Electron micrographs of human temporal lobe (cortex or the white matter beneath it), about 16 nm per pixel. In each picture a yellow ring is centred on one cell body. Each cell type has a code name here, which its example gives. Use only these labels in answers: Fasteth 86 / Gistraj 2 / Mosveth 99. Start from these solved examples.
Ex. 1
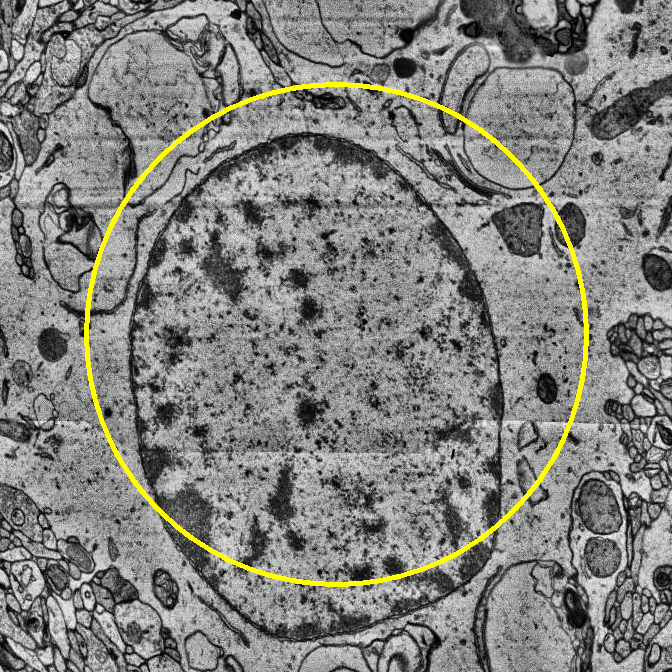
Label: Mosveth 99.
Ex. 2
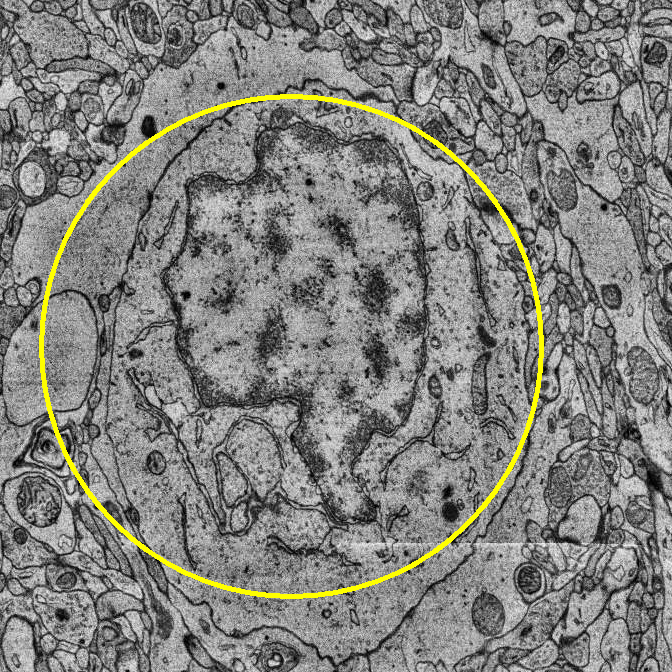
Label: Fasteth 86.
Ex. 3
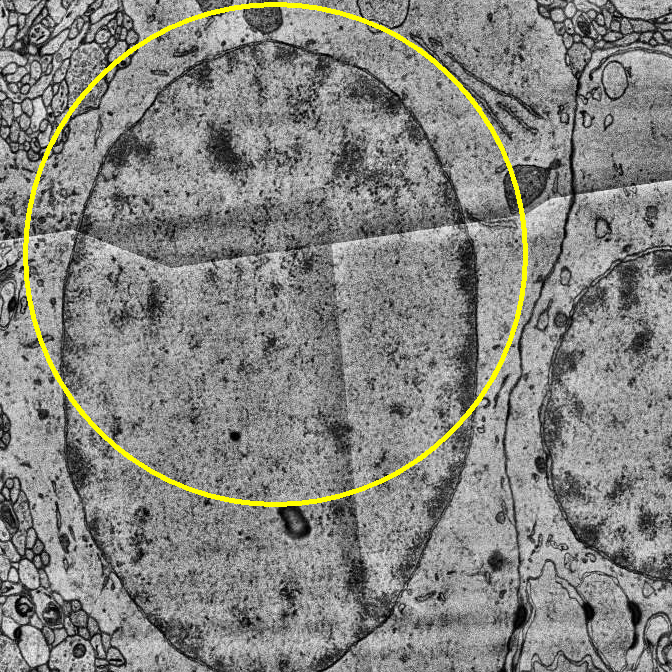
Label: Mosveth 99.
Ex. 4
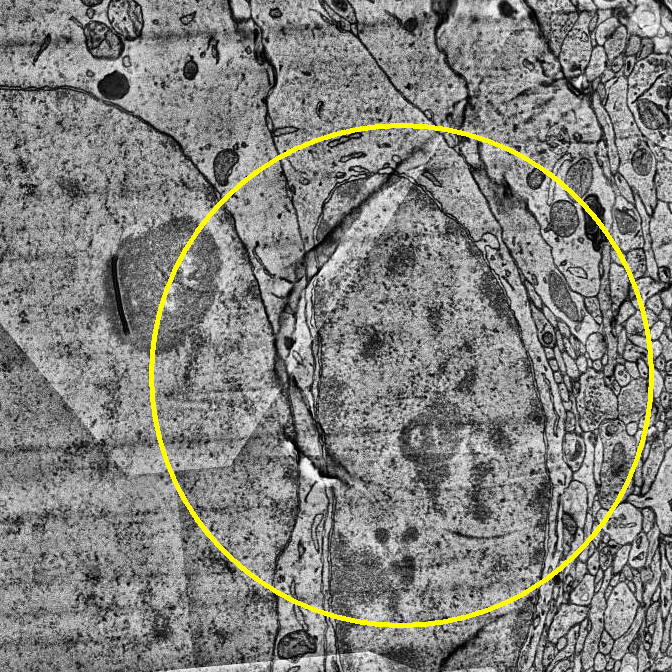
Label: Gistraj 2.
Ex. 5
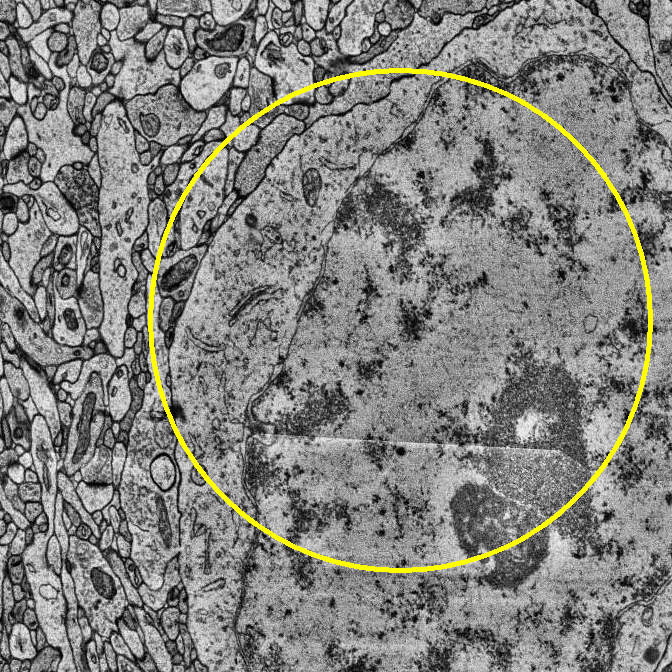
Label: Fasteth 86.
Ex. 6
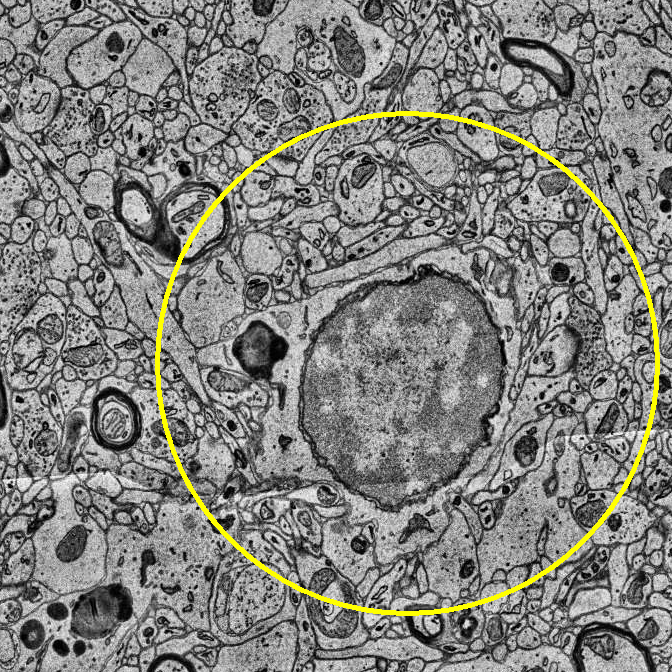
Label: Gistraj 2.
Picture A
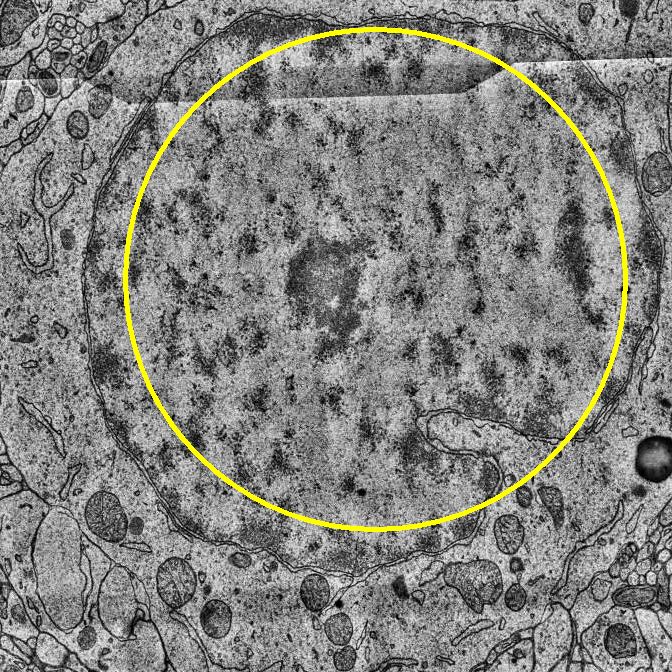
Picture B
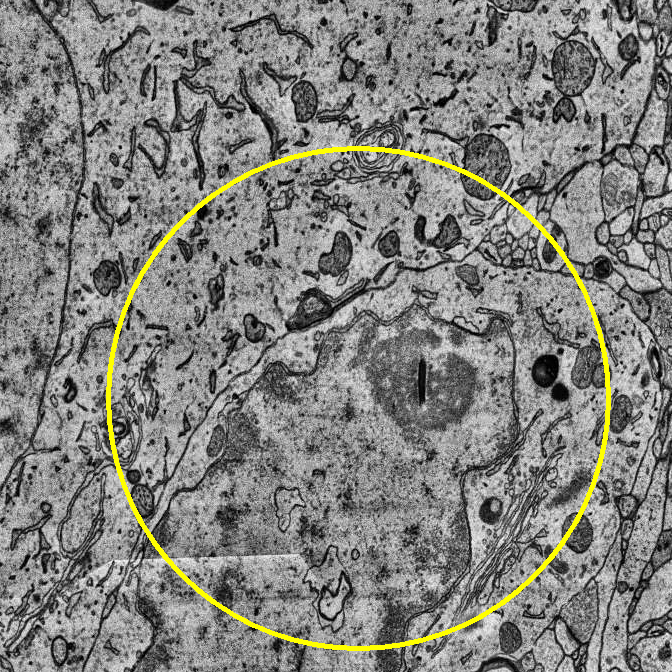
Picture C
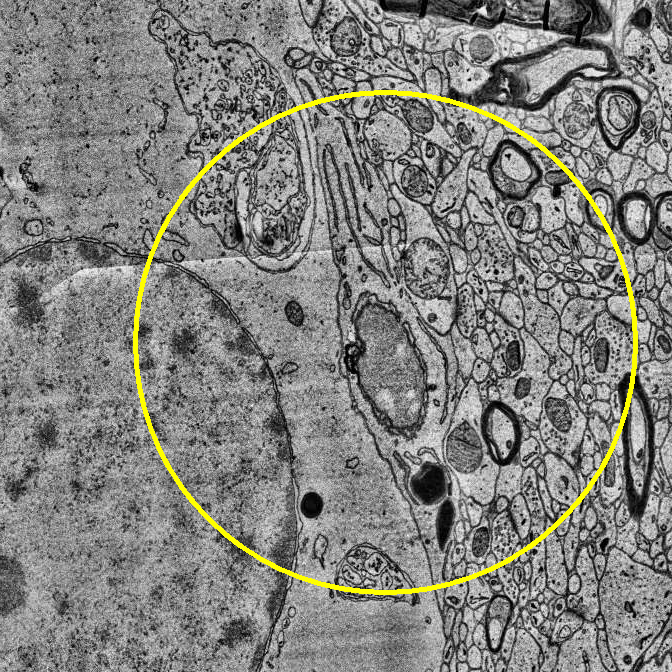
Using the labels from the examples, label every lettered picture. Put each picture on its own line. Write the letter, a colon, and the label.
A: Fasteth 86.
B: Fasteth 86.
C: Gistraj 2.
